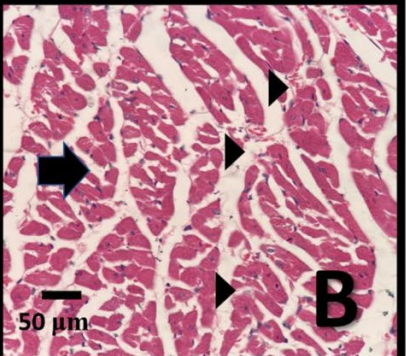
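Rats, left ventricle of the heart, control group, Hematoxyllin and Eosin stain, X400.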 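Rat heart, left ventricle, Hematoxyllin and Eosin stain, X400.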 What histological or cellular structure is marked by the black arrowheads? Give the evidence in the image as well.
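The arrowheads point to pale, loosely textured spaces between pink muscle bundles. Scattered small dark nuclei lie in these pale interstitial spaces.
Hence: loose vascular connective tissue.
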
